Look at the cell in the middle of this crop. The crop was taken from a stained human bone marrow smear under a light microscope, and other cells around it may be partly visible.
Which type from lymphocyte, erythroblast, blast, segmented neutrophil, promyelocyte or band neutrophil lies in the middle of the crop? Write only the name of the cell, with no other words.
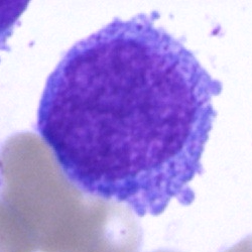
promyelocyte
